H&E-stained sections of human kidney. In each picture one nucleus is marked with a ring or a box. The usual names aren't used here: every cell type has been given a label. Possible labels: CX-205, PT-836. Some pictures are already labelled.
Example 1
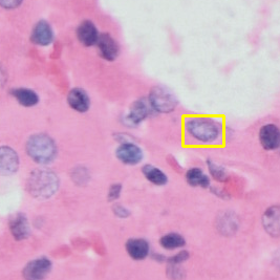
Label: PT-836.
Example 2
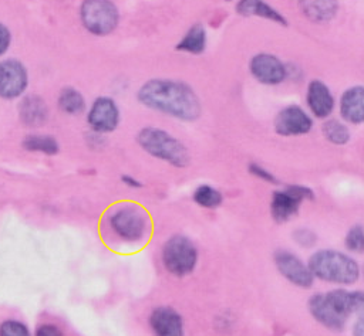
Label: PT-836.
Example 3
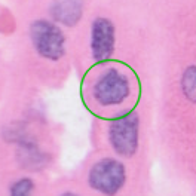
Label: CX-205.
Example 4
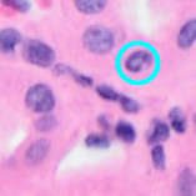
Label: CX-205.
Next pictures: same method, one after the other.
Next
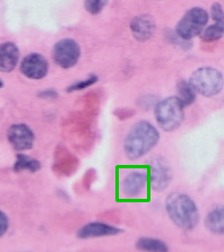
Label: CX-205.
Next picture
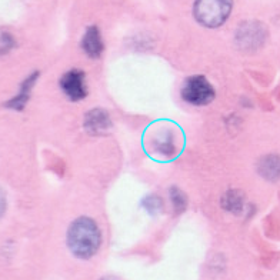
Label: PT-836.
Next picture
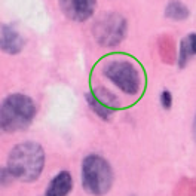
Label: CX-205.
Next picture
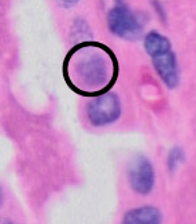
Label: CX-205.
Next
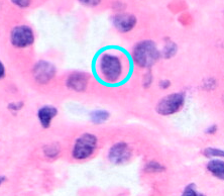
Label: PT-836.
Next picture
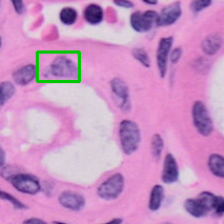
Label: CX-205.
